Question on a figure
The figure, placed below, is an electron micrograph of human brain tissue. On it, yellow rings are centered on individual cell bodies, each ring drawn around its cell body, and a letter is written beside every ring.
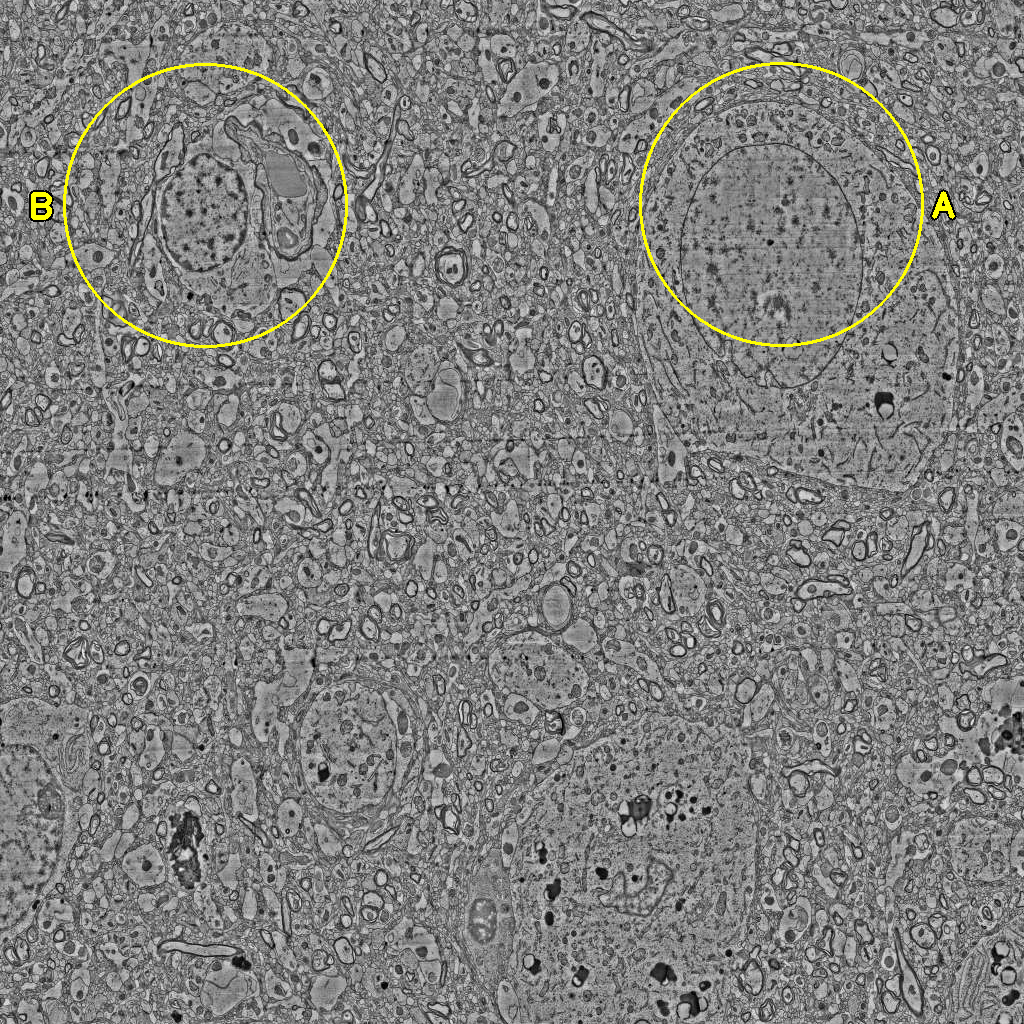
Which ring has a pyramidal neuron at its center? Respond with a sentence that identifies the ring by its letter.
The ring marked A has it at its center.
